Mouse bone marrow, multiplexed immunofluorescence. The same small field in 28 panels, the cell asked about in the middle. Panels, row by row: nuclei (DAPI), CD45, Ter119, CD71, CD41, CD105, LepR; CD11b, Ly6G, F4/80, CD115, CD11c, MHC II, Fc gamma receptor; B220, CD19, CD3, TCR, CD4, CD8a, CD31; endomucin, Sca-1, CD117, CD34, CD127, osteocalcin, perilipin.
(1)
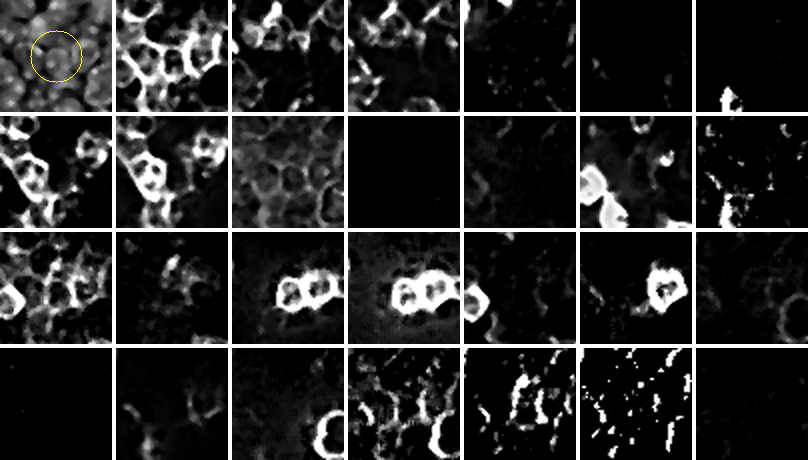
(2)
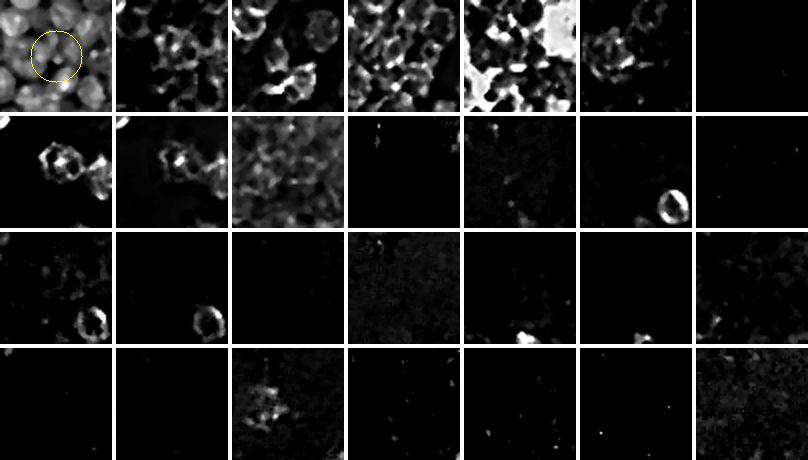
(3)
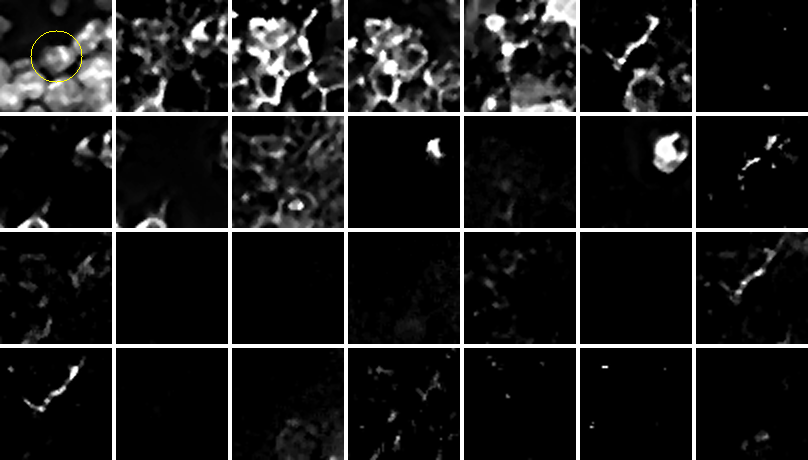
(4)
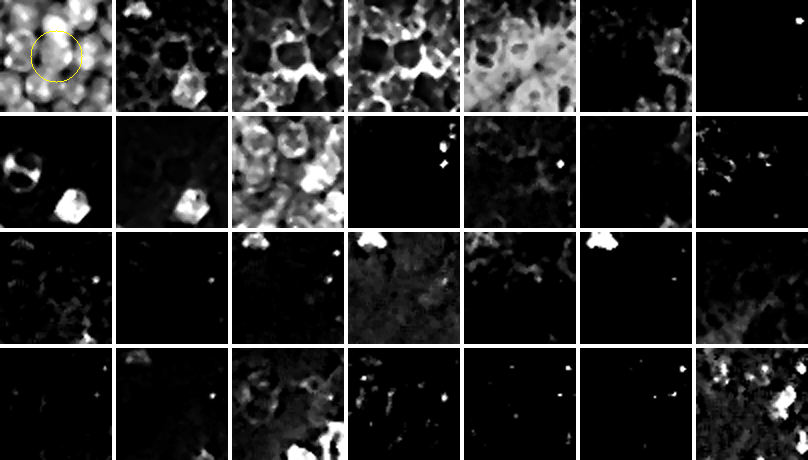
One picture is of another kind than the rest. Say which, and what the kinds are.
Picture 1 shows a double-negative T cell; the rest show erythroblasts.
